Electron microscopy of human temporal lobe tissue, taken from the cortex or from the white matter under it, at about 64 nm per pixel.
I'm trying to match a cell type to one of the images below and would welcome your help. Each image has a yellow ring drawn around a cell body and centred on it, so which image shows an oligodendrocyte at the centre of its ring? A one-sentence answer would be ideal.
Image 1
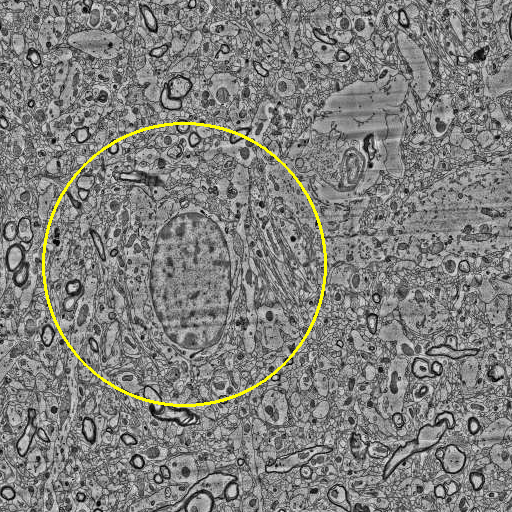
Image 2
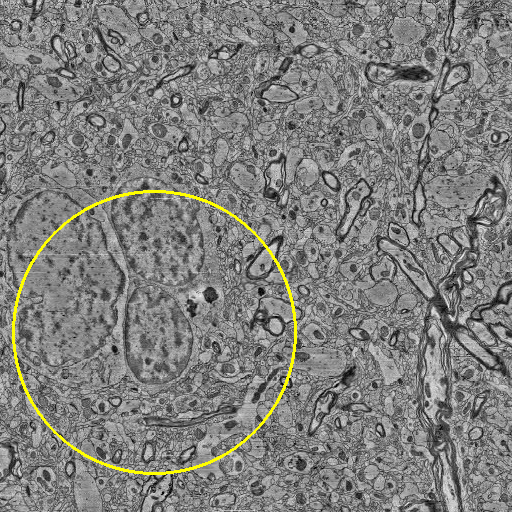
Image 2 shows it at the centre of the ring.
